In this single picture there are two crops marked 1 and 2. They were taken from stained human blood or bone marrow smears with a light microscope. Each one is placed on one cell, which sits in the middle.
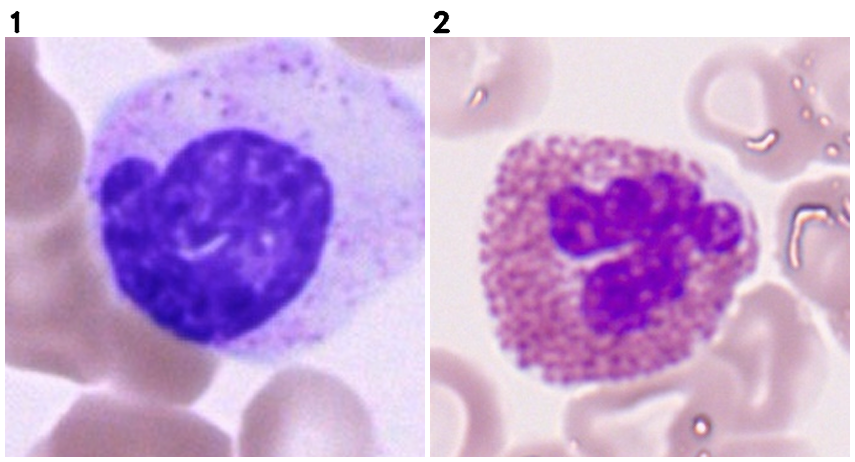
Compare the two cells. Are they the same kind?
no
